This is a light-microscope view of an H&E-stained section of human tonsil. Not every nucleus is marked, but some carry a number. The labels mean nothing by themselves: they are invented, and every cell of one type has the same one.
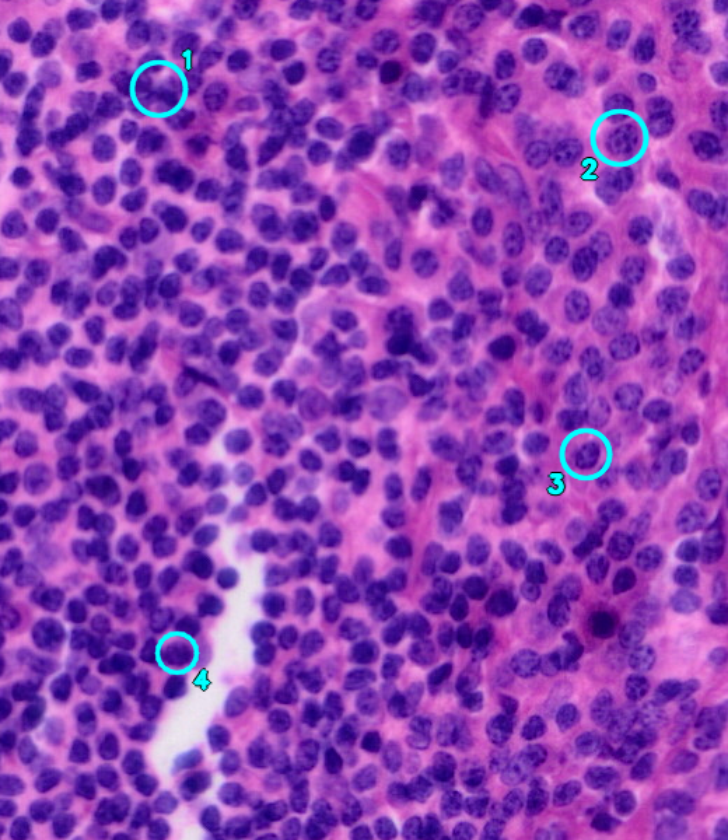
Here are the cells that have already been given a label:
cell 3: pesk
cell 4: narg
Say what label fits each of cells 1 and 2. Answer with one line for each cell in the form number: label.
1: narg
2: pesk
